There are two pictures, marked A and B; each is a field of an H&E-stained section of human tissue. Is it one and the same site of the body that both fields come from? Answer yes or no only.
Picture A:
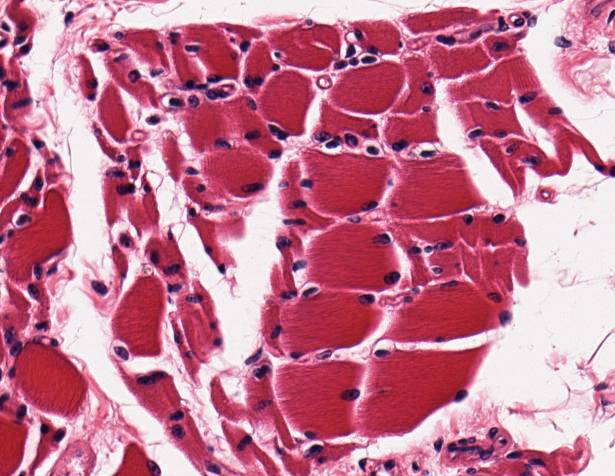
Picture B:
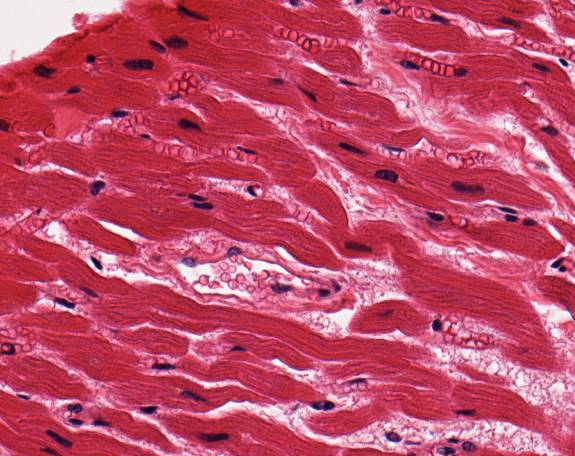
no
